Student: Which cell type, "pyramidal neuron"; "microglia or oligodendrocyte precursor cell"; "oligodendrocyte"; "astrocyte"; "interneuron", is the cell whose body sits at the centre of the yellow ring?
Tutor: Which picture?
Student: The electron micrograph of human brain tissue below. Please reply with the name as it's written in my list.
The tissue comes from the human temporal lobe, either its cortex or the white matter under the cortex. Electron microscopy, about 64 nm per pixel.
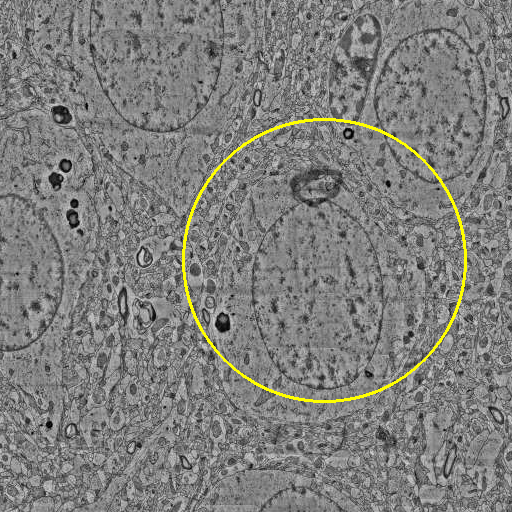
pyramidal neuron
